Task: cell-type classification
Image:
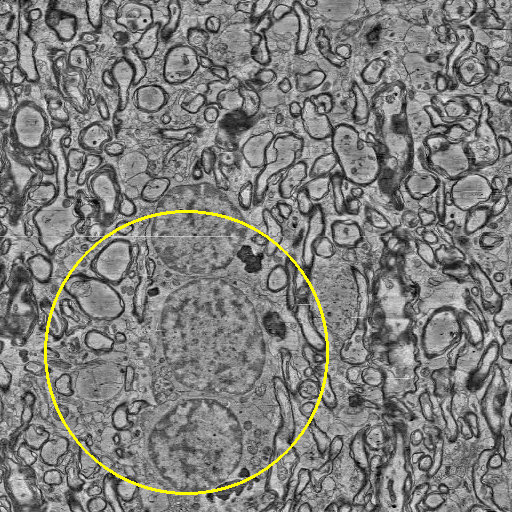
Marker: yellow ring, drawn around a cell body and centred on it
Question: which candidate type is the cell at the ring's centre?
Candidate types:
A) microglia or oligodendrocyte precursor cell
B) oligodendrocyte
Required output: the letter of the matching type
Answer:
B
